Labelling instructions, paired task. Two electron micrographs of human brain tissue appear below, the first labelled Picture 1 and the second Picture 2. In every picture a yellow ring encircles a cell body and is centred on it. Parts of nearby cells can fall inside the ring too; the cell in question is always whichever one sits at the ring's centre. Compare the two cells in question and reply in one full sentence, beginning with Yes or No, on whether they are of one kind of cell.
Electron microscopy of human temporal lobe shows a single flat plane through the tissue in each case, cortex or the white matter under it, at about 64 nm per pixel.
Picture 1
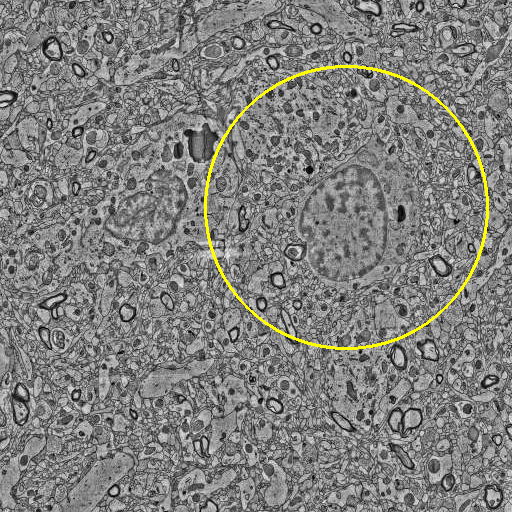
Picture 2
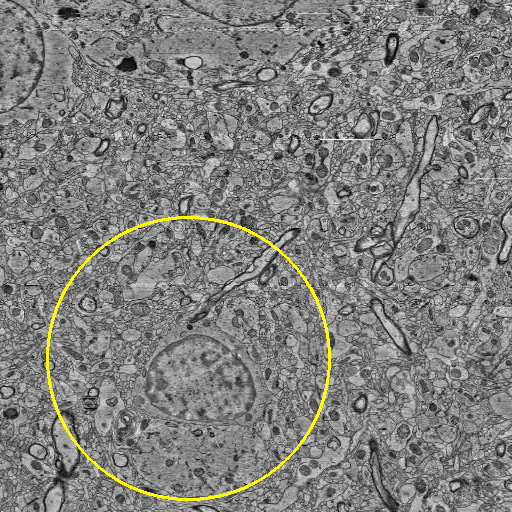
Yes, the two cells at the ring centres in Picture 1 and Picture 2 are of one kind.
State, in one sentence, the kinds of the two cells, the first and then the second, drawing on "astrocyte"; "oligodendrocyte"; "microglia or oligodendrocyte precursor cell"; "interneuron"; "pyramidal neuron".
The cell at the ring centre is an oligodendrocyte in both pictures.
